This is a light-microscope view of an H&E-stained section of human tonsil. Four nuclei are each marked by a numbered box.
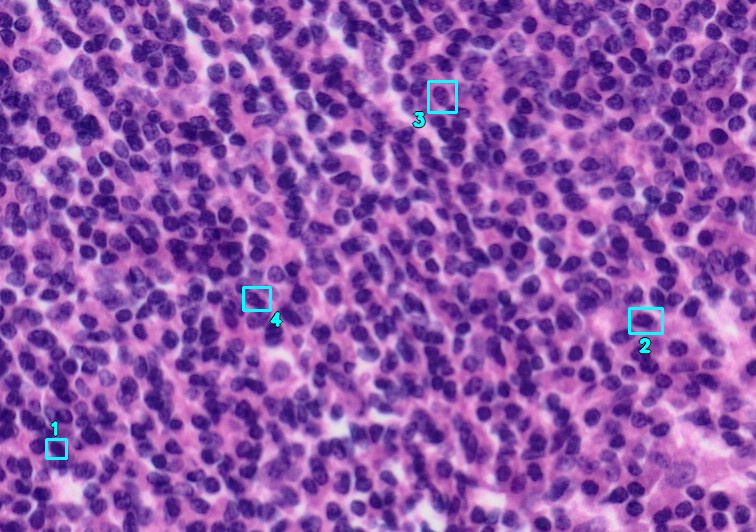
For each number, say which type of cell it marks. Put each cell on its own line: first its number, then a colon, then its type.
1: small lymphocyte
2: plasma cell
3: small lymphocyte
4: small lymphocyte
